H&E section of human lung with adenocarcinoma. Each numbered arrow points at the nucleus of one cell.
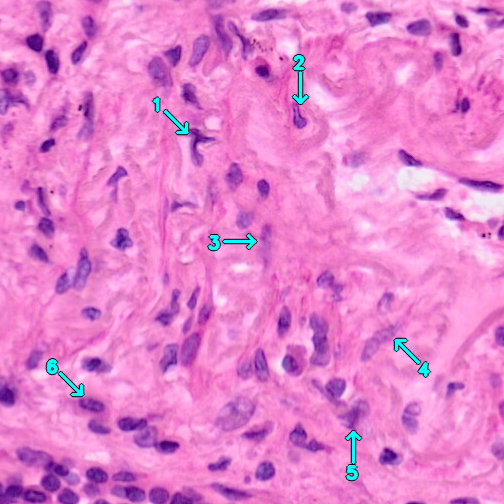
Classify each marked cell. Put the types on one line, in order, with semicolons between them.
fibroblast; smooth muscle cell or pericyte; smooth muscle cell or pericyte; smooth muscle cell or pericyte; fibroblast; plasma cell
